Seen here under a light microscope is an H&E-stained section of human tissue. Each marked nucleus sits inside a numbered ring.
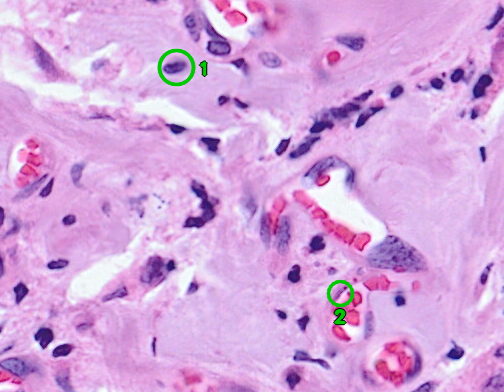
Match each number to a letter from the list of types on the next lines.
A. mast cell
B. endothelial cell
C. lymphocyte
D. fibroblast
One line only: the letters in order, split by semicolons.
C; B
